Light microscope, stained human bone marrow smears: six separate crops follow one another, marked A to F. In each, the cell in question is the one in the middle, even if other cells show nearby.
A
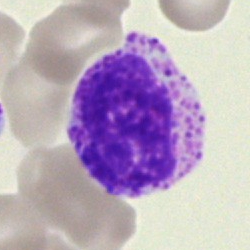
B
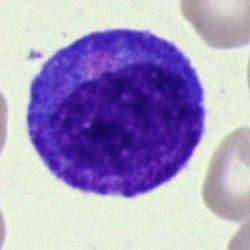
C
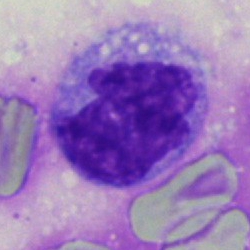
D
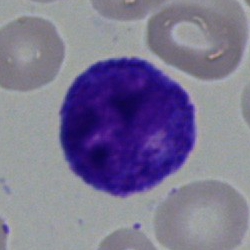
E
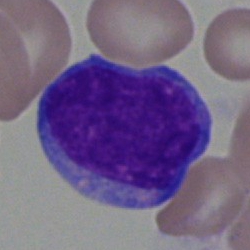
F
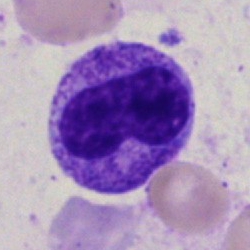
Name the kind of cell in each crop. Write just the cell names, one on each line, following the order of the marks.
basophil
promyelocyte
monocyte
promyelocyte
blast
band neutrophil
